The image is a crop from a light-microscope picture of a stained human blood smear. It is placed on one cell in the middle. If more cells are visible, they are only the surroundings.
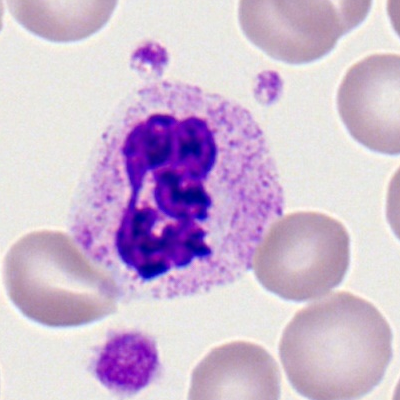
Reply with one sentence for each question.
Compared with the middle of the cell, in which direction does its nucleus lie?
The nucleus is pushed toward the left of the cell.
